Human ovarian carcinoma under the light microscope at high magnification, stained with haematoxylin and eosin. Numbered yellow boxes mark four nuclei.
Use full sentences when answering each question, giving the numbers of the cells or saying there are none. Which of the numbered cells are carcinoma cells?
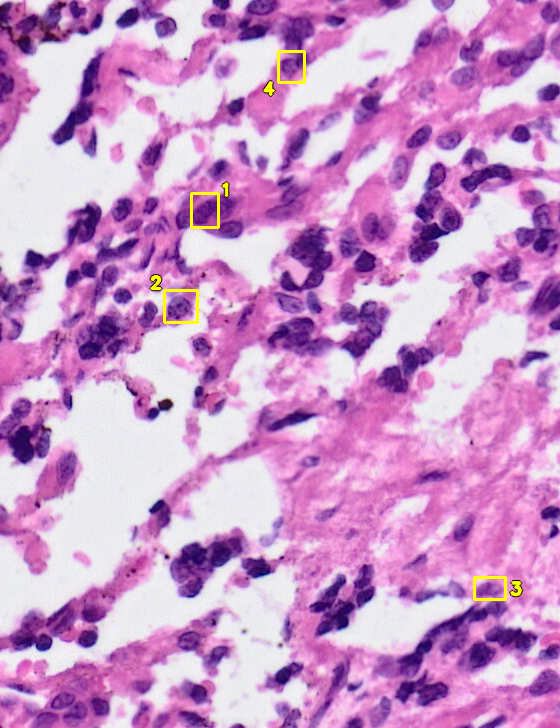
Cell 1 represents a carcinoma cell, and no other numbered cell does.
